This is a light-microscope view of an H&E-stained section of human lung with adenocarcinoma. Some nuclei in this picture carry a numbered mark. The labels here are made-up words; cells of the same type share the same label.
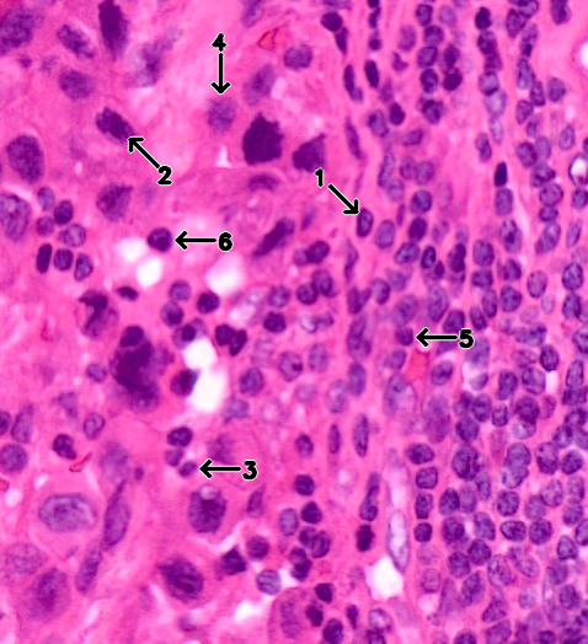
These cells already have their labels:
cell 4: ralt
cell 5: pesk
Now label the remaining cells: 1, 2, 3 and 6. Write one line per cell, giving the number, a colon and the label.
1: pesk
2: ralt
3: pesk
6: pesk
